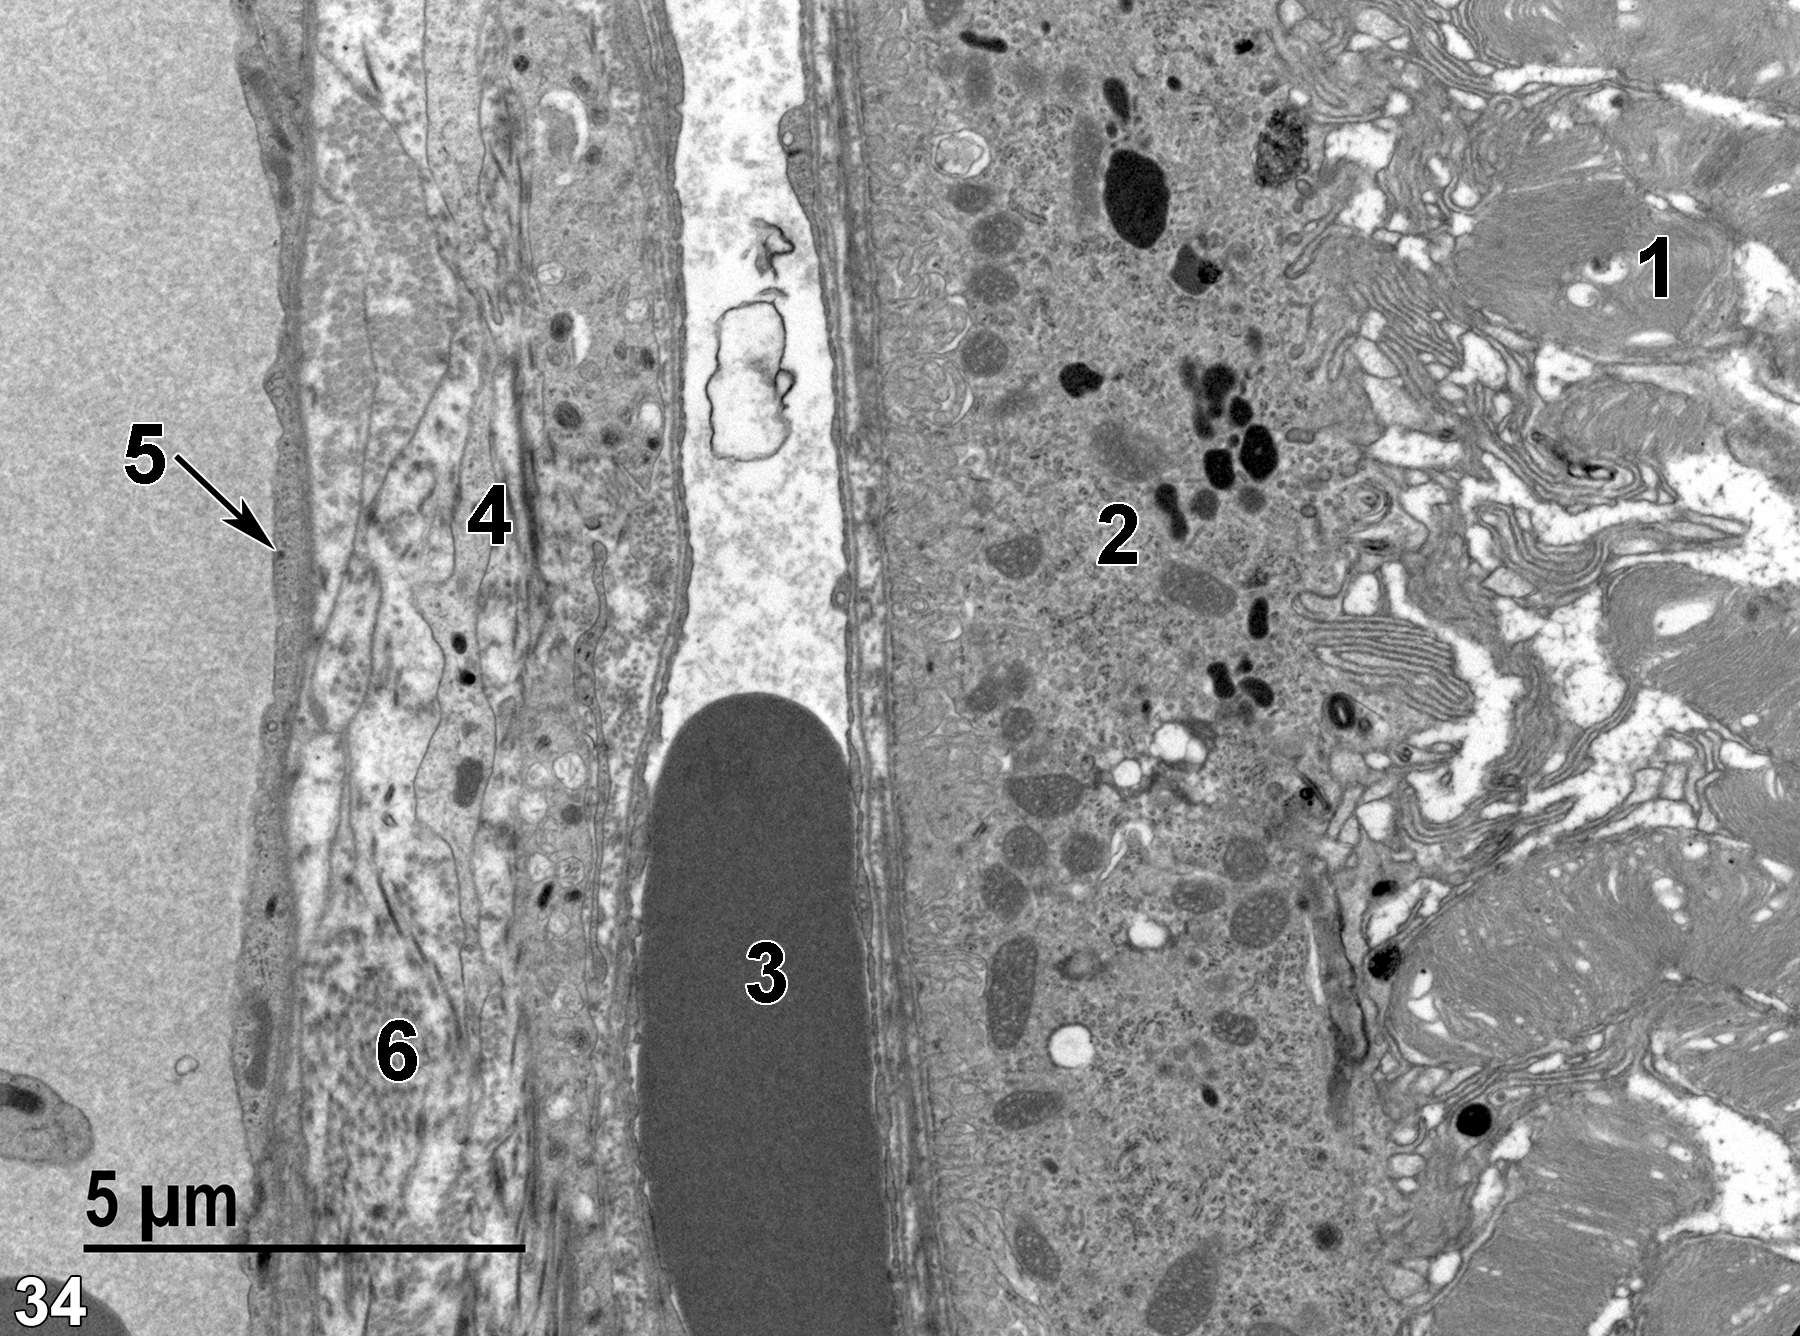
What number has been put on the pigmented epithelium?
It's 2.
